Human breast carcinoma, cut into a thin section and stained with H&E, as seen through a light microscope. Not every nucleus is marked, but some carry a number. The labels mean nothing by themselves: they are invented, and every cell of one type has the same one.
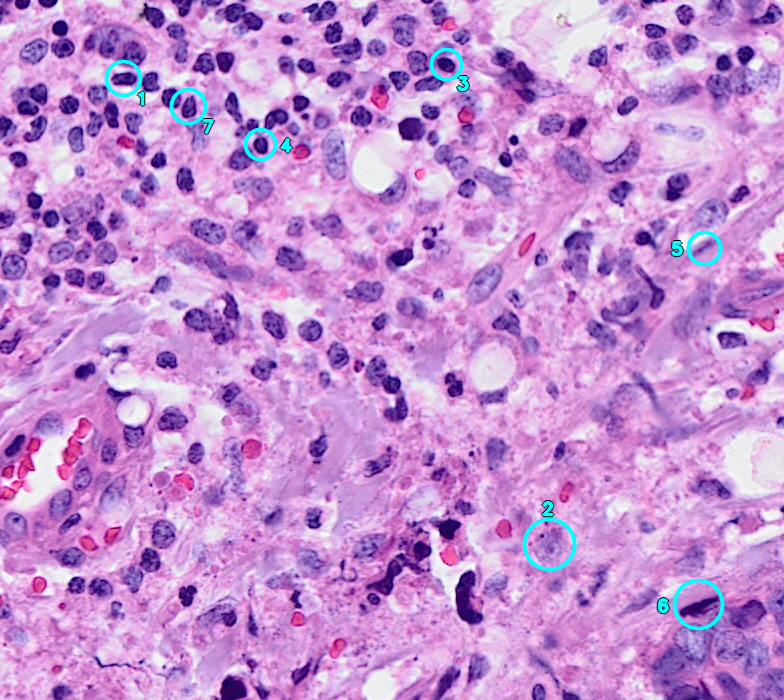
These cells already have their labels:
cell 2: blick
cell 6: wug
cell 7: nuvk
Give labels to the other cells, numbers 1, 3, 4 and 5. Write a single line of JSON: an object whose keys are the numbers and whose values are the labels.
{"1": "nuvk", "3": "nuvk", "4": "nuvk", "5": "blick"}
